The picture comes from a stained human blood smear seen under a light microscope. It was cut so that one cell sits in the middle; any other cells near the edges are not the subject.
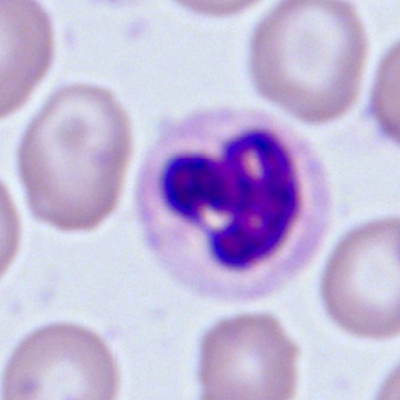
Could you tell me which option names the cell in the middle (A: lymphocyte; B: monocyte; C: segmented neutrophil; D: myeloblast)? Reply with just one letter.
C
